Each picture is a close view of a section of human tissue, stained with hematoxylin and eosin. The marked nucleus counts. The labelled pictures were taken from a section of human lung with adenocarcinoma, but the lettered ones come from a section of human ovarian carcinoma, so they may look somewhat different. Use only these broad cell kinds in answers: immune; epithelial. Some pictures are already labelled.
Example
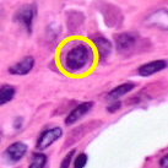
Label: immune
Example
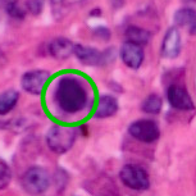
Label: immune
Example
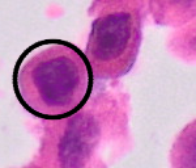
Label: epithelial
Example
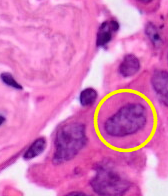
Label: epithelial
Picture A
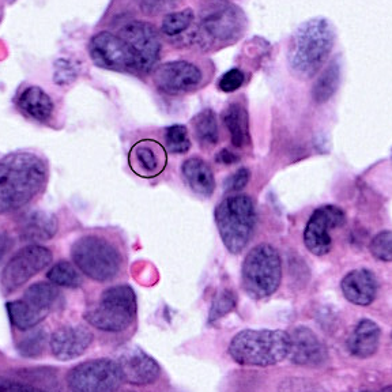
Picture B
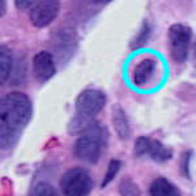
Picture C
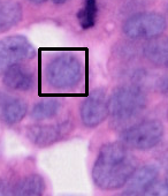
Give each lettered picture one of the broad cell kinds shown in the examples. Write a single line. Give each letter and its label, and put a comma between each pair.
A immune, B immune, C epithelial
